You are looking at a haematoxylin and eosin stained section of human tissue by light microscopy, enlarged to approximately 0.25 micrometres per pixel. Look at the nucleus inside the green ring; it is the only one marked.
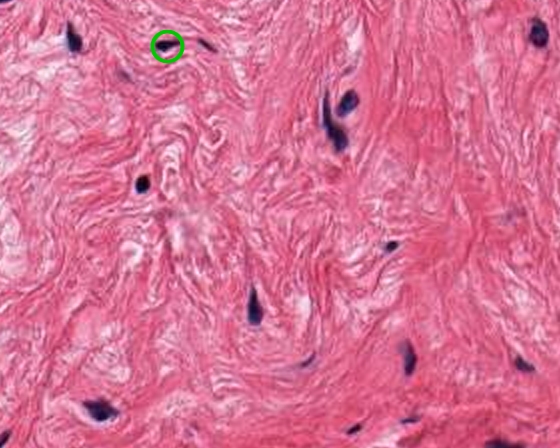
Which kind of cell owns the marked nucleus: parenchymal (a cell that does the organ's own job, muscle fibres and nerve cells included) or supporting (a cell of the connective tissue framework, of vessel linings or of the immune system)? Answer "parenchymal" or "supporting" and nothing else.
supporting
